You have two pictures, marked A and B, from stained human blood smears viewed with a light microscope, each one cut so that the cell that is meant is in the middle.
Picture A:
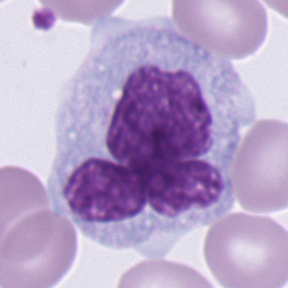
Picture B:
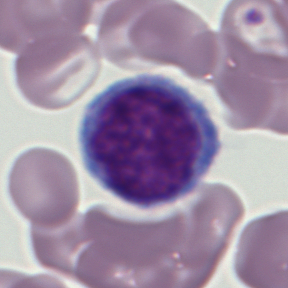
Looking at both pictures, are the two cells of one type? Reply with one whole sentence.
Yes, both are monocytes.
